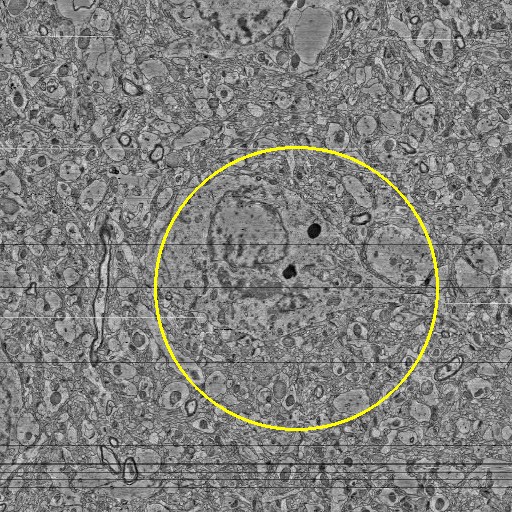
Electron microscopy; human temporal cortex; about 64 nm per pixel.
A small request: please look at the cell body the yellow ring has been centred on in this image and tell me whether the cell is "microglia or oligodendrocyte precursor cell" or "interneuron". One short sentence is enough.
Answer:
The cell marked by the ring is an interneuron.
